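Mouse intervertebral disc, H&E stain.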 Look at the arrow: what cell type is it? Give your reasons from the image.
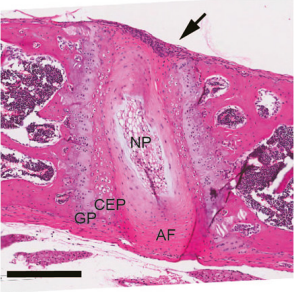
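A band of densely packed small dark purple nuclei lies along the outer edge of the disc under the arrow.
Answer: Inflammatory cells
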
